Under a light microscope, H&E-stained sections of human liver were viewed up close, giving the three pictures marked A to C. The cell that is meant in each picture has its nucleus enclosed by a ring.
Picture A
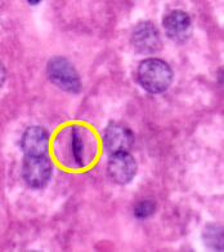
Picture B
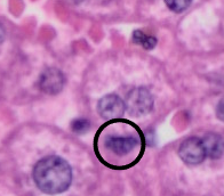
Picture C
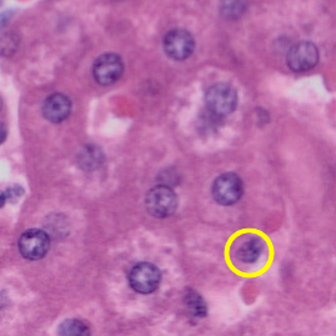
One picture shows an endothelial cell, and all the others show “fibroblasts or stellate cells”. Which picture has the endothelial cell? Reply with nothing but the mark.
C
